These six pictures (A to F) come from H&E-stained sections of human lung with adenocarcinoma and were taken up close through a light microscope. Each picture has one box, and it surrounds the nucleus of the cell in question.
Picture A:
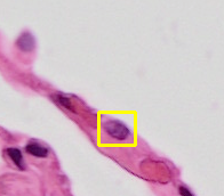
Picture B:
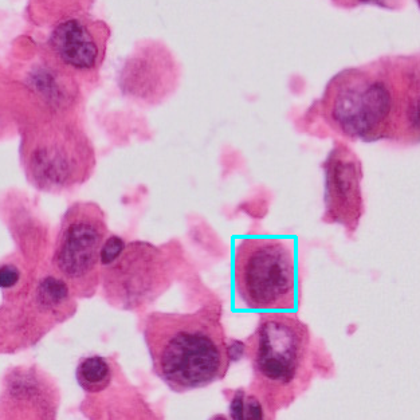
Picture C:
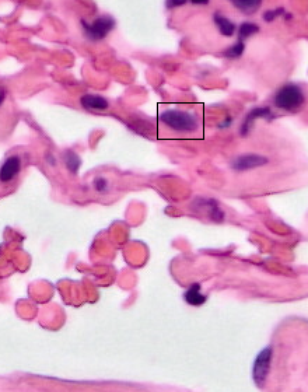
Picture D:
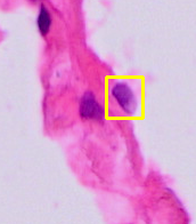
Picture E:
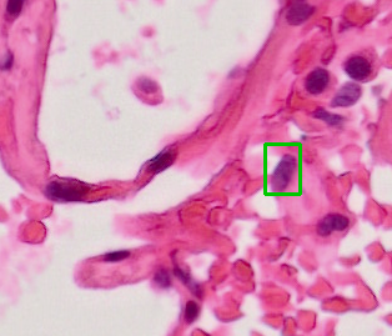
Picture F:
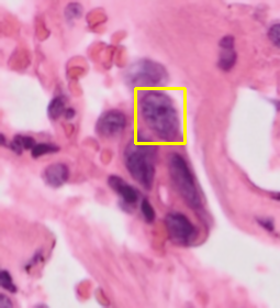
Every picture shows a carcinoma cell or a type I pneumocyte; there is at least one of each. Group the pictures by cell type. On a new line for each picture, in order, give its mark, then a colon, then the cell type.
A: type I pneumocyte
B: carcinoma cell
C: type I pneumocyte
D: type I pneumocyte
E: type I pneumocyte
F: carcinoma cell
